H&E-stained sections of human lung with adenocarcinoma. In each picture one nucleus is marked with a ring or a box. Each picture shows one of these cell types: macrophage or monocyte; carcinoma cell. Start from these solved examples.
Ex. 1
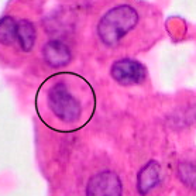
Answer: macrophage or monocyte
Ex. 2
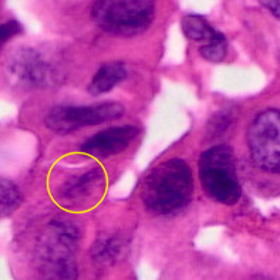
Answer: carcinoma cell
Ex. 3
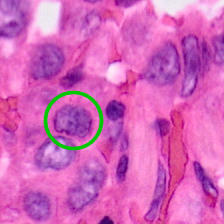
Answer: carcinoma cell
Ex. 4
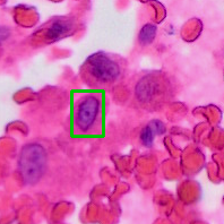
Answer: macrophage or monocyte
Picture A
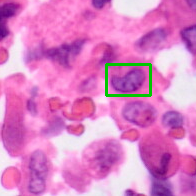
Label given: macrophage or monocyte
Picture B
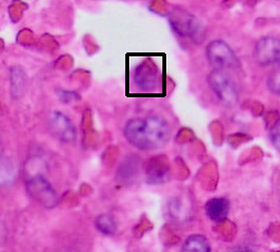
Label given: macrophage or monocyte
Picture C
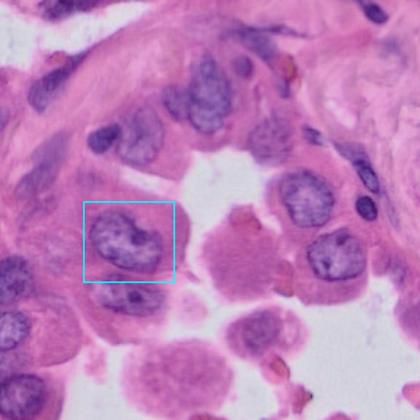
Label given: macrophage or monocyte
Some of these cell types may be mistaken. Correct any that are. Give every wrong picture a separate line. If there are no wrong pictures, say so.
C: not macrophage or monocyte but carcinoma cell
